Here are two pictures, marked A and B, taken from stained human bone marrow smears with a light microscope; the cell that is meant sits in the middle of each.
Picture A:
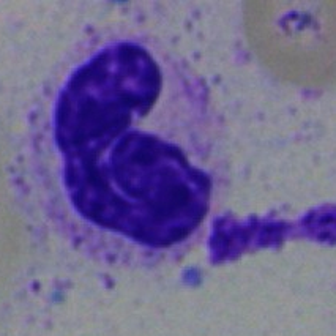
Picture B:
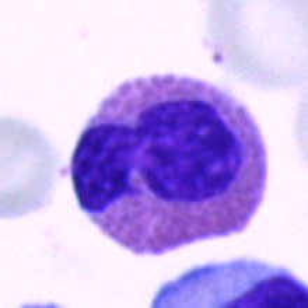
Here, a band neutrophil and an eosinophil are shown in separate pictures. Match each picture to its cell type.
A: band neutrophil
B: eosinophil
